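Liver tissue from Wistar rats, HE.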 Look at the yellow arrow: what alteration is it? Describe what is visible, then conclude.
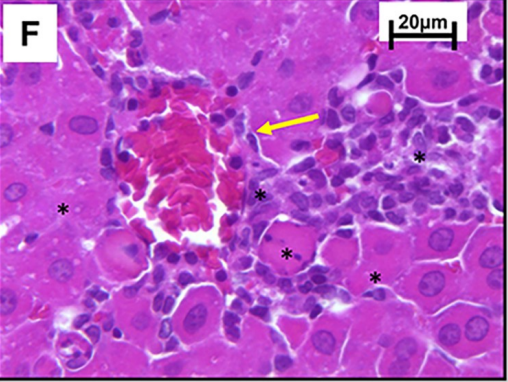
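The arrow points to a vessel packed with red blood cells.
Hyperaemia.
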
